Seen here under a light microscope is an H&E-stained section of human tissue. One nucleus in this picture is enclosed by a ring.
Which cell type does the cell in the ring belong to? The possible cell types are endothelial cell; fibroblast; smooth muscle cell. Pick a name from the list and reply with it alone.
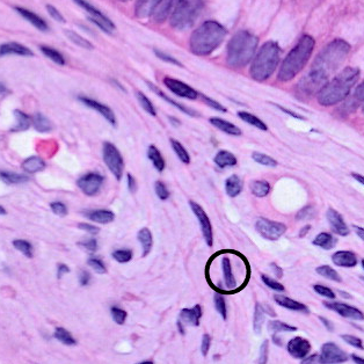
fibroblast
